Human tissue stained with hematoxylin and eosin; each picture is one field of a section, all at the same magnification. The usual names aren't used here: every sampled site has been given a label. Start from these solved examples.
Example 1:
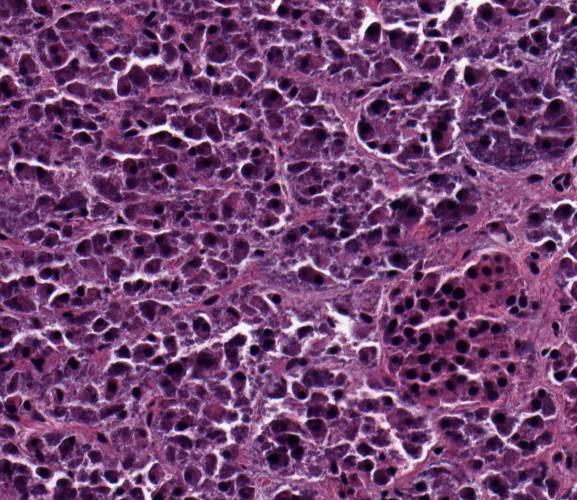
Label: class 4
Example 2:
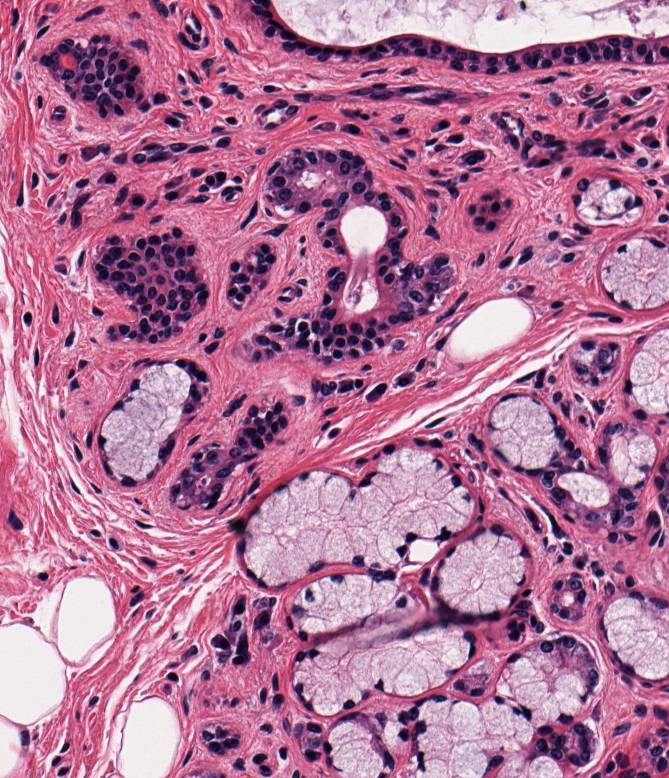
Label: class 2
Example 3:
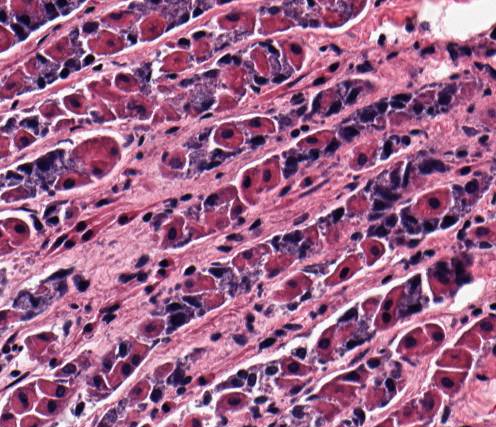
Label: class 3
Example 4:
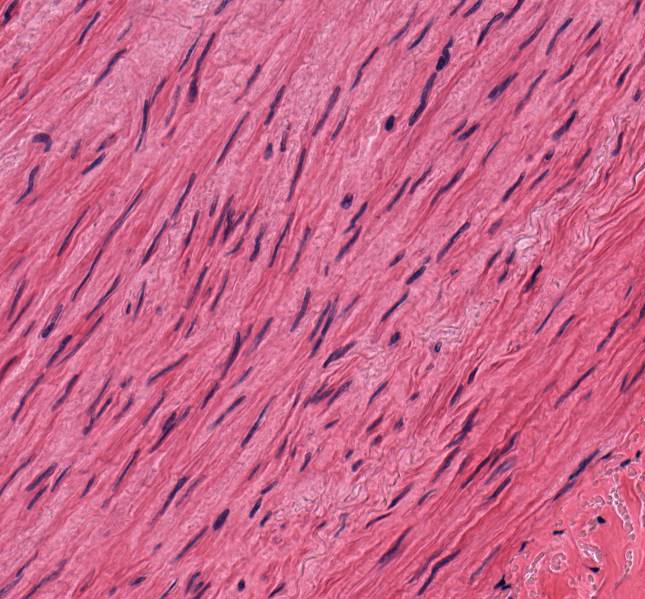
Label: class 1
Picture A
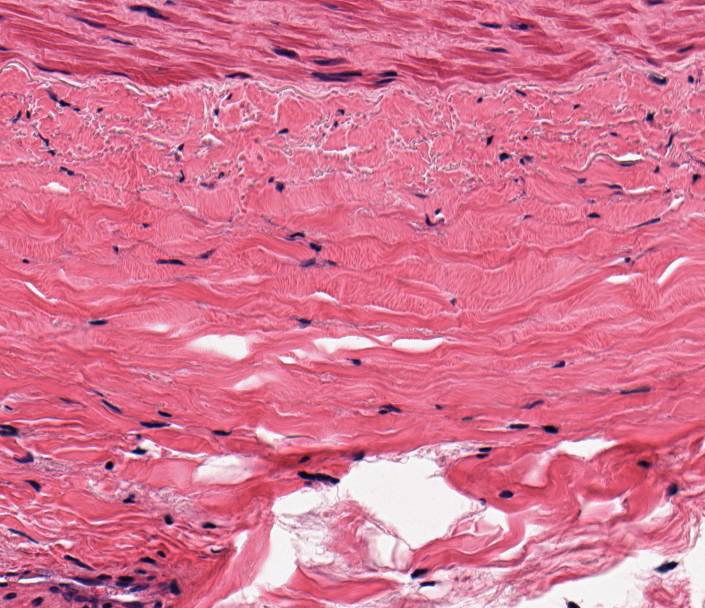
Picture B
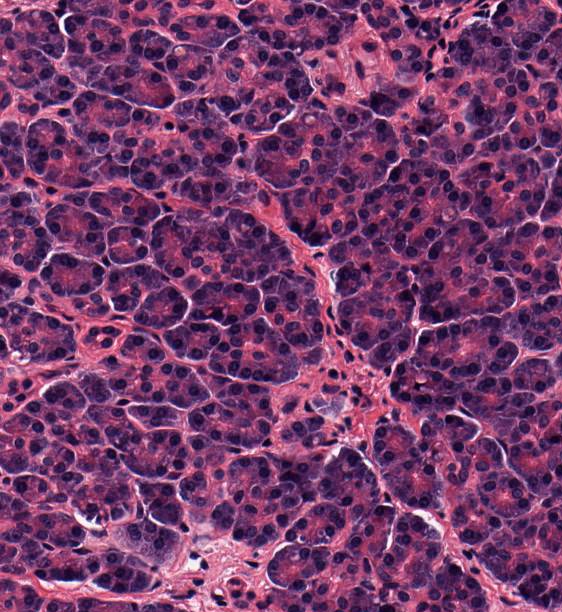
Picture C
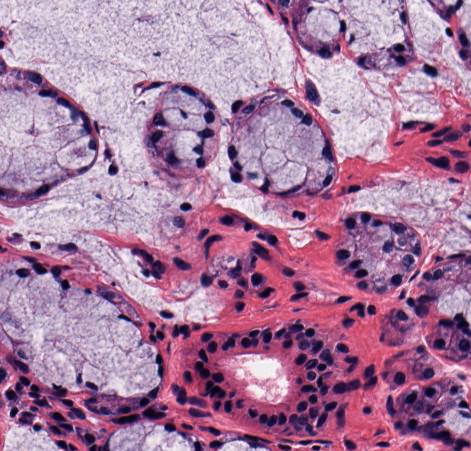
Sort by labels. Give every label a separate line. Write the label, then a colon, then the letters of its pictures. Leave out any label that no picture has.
class 4: B
class 2: C
class 1: A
